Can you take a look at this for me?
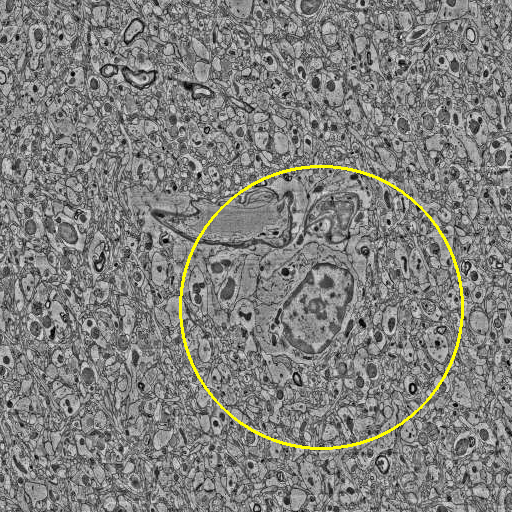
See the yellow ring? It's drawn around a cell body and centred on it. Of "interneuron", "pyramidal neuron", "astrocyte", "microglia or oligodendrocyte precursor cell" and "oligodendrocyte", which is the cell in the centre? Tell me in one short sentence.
The one in the centre is a microglial cell or oligodendrocyte precursor cell.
